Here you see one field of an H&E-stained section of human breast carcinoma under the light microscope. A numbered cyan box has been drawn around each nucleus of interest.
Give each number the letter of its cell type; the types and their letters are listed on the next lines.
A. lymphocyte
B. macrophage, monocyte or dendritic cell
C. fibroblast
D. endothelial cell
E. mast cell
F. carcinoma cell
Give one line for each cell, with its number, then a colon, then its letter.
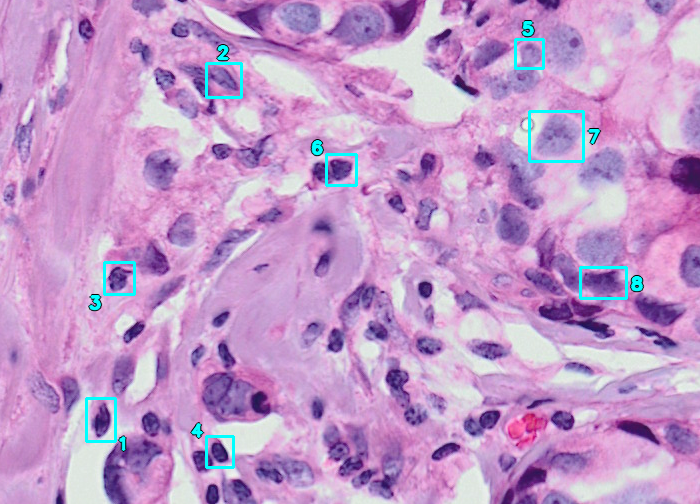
1: A
2: D
3: A
4: A
5: F
6: A
7: F
8: F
